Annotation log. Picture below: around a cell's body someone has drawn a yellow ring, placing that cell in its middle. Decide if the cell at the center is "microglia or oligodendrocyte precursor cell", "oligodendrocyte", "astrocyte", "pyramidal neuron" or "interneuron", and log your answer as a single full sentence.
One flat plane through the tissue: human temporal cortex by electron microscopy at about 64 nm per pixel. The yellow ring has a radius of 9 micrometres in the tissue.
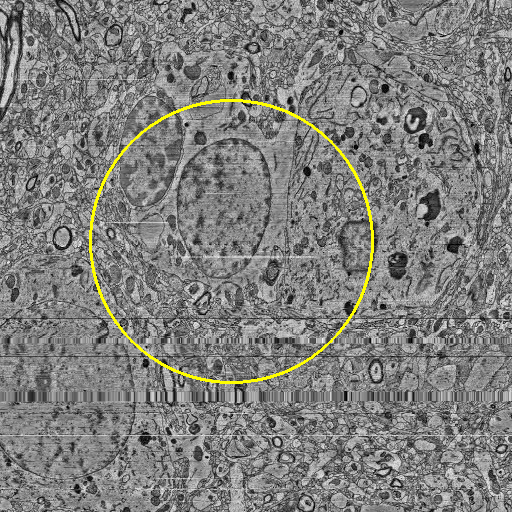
My entry records an astrocyte as the cell sitting at the center of the yellow ring.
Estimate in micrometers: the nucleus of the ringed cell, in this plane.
In this plane, the nucleus is roughly 9 by 6 micrometres.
